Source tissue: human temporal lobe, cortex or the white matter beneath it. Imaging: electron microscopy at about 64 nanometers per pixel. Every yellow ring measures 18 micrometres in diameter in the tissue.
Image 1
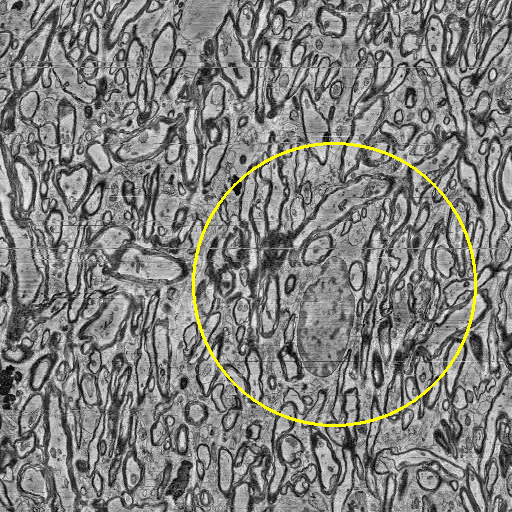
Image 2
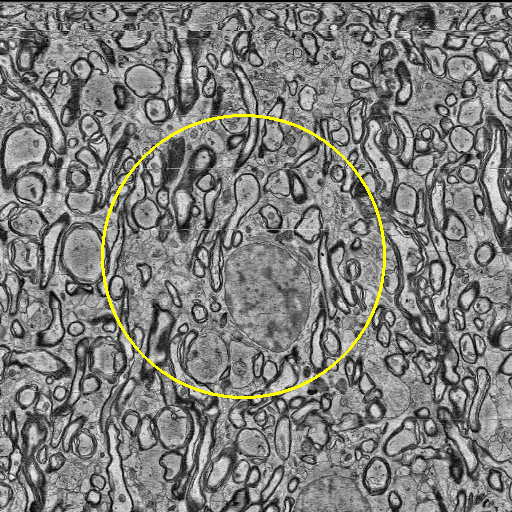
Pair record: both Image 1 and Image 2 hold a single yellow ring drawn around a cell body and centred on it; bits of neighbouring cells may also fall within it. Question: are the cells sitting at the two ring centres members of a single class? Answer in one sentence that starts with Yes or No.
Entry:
Yes, both ring-centre cells in Image 1 and Image 2 are members of one class.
